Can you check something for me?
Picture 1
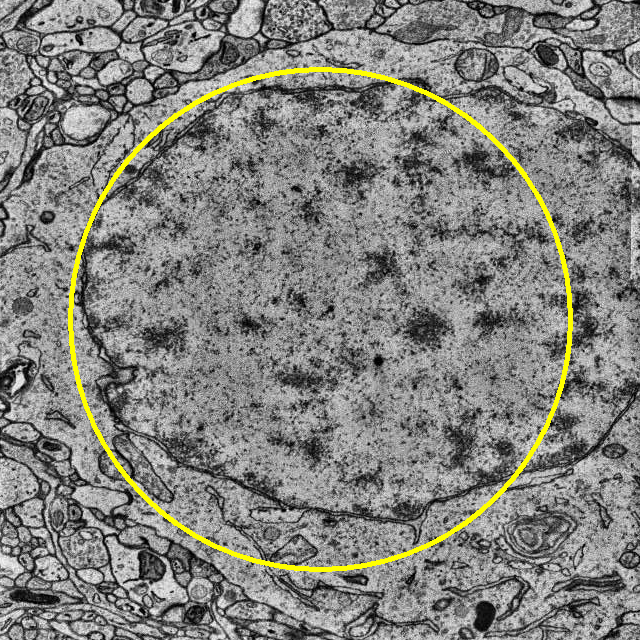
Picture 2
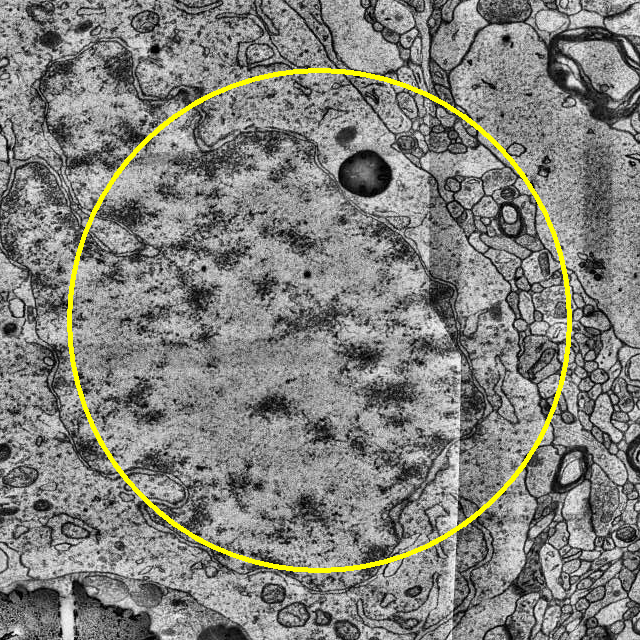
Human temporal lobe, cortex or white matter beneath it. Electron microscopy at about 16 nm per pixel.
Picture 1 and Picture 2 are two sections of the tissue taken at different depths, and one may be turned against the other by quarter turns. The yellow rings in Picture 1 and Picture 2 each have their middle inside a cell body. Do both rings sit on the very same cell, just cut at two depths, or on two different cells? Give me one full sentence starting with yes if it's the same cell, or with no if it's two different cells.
No, two cells, not one, are marked by the yellow rings.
